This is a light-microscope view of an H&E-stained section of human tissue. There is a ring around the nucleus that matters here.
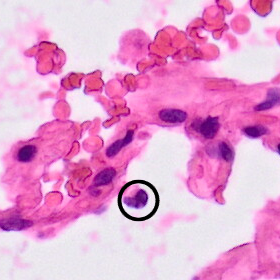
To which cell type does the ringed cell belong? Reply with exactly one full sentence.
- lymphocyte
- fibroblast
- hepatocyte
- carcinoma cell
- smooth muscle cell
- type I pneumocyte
In terms of identity, the ringed cell is a type I pneumocyte.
